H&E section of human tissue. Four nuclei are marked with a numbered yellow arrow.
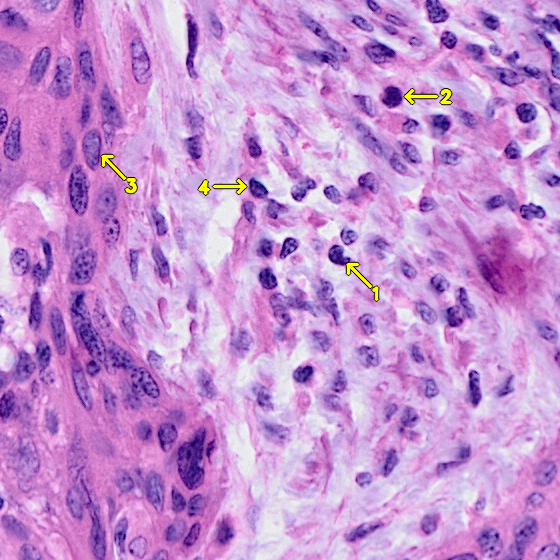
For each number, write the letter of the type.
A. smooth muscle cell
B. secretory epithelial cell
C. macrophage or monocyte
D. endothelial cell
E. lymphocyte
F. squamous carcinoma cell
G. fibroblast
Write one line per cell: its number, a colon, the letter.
1: E
2: E
3: F
4: E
